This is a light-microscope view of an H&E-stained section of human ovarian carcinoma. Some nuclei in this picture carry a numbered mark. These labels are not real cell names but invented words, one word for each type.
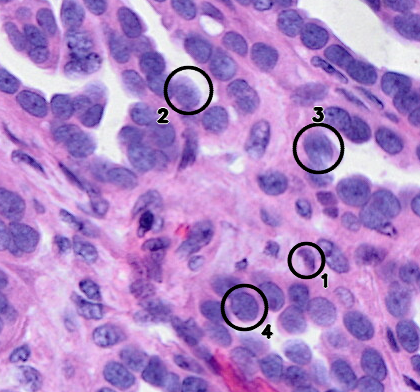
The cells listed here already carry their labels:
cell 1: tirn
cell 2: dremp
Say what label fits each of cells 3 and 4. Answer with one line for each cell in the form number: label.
3: dremp
4: dremp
